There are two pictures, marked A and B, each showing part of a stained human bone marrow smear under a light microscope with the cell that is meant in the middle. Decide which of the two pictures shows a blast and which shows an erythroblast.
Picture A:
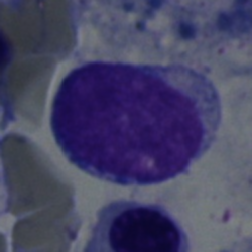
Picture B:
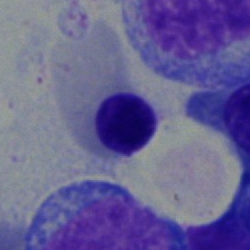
A: blast
B: erythroblast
